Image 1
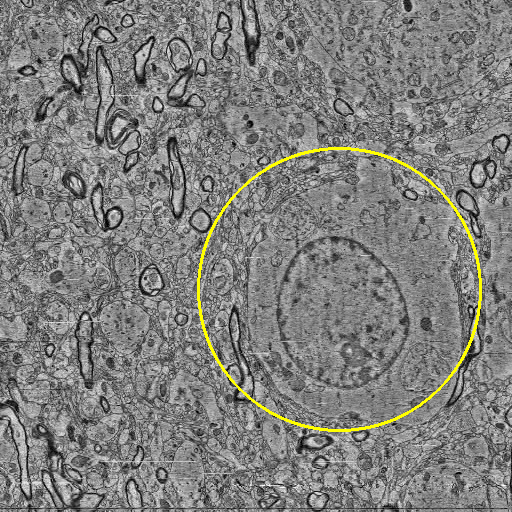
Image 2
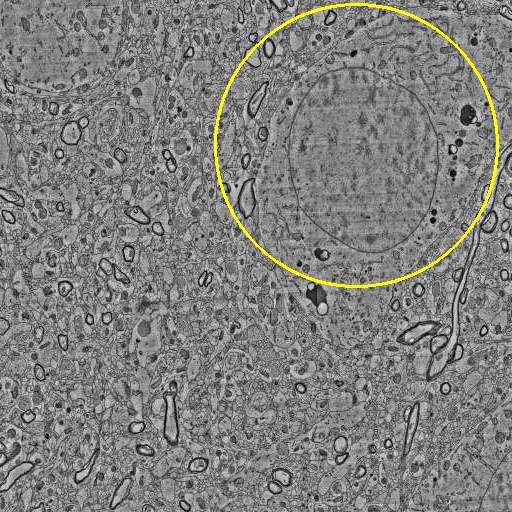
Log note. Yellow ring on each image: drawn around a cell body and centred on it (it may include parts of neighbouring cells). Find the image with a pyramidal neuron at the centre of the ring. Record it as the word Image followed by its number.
Image 2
